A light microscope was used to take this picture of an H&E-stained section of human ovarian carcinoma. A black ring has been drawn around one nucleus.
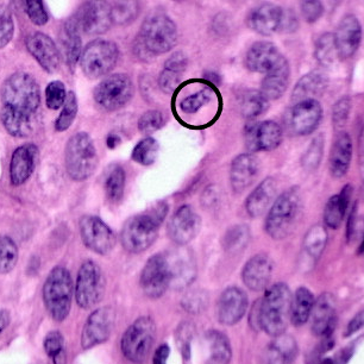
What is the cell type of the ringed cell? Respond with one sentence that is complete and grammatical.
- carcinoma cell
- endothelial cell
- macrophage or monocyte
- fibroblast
Among the cells in this section, the ringed cell is a macrophage or monocyte.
